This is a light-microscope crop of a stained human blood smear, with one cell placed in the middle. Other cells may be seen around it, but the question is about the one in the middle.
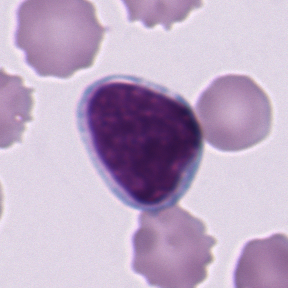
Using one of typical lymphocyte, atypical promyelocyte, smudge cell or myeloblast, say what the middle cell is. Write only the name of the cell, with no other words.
typical lymphocyte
